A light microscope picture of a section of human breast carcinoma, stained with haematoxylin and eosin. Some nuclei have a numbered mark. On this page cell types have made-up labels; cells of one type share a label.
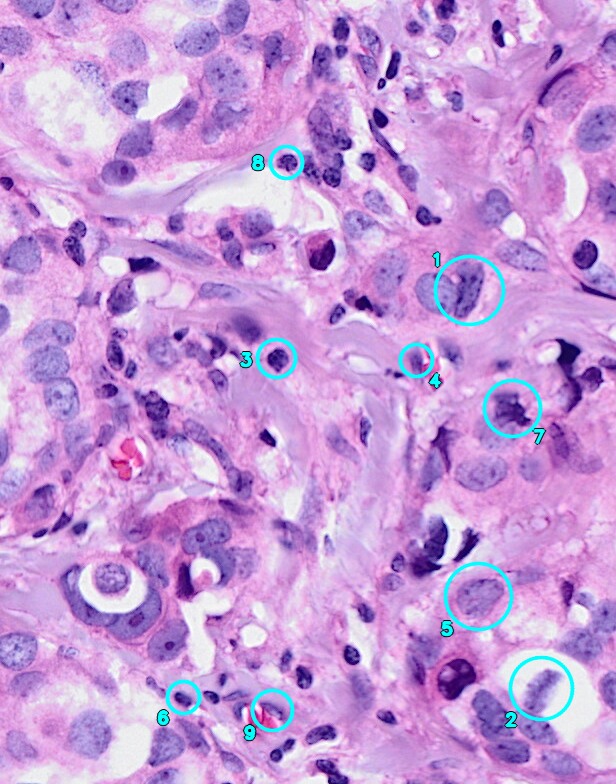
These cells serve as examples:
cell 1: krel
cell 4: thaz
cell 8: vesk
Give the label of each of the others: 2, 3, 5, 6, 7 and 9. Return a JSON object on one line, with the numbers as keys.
{"2": "krel", "3": "vesk", "5": "krel", "6": "vesk", "7": "krel", "9": "thaz"}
